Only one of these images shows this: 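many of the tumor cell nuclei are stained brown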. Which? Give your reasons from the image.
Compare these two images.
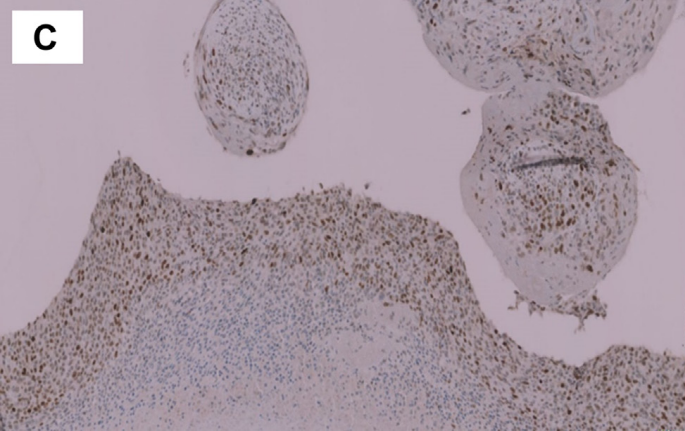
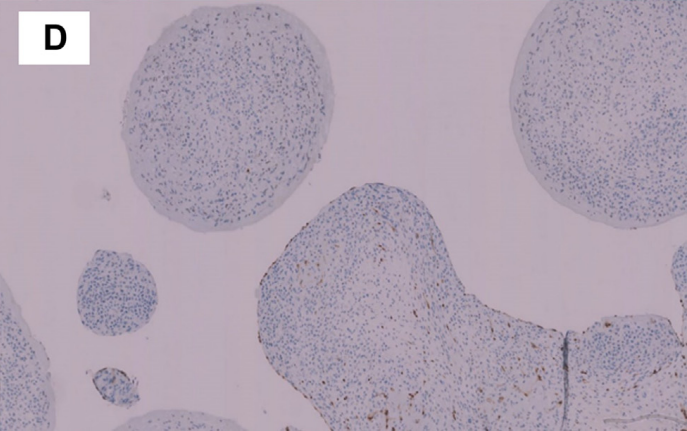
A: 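Second image: the tissue fragments show mostly blue nuclei with only scattered brown cells. First image: a dense band of brown nuclei lines the fragments. That points to this answer: the first image.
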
